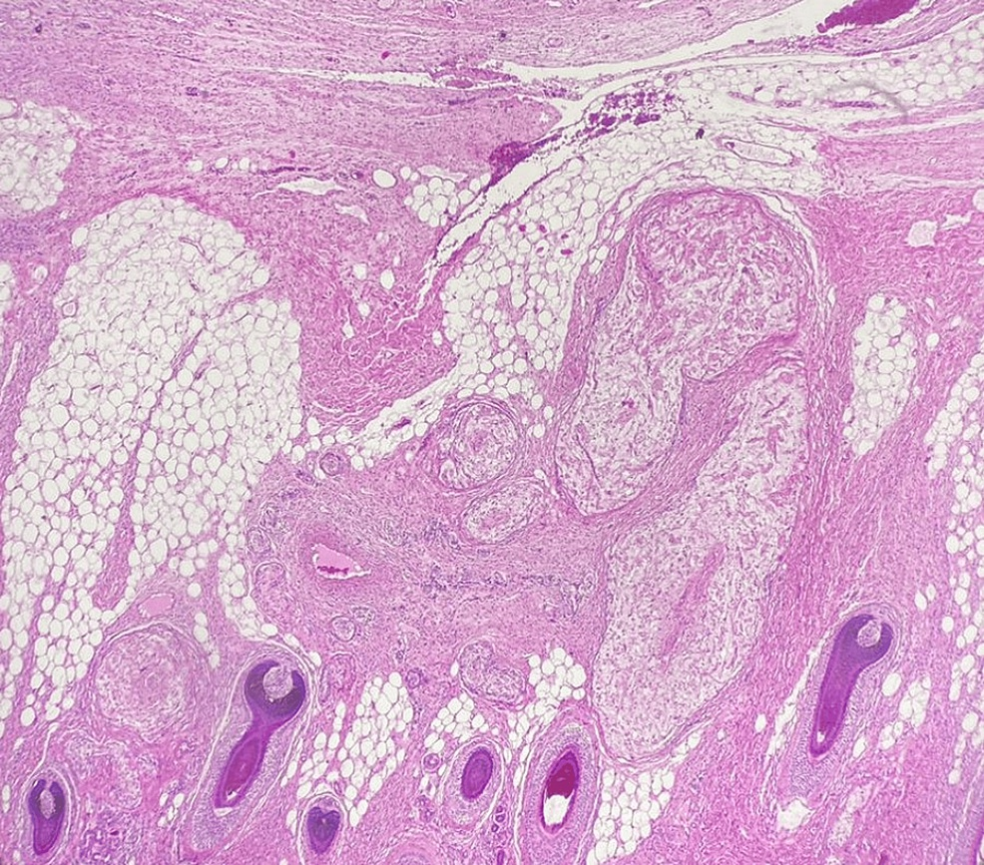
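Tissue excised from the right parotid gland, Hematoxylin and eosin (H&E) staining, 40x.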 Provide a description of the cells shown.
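Low-power view of a peripheral nerve sheath tumor made of multiple expanded, tortuous nerve fascicles. The largest nodules are rounded to elongated and sharply outlined by a thin fibrous rim. They are filled with pale pink, loose, finely wavy tissue that holds sparse spindle-shaped cells. Smaller round nerve bundles and a small blood vessel lie beside them in a denser pink fibrous stroma. Lobules of mature fat with clear, empty-looking adipocytes surround the nodules. Along the lower edge, hair follicles cut in cross and oblique section show dark purple hair shafts. A band of dense fibrous tissue runs across the top.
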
